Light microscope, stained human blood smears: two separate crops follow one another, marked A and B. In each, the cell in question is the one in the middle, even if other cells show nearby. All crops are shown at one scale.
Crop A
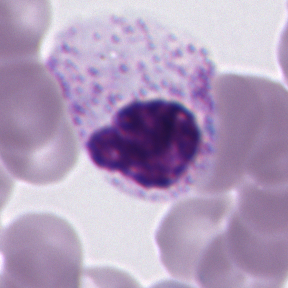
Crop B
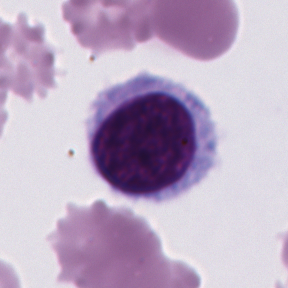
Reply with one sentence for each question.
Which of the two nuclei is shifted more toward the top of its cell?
The nucleus in crop B lies further toward the top of its cell.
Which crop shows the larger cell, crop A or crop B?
Crop A holds the larger cell; it covers about 1.5 times the area of the cell in crop B.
